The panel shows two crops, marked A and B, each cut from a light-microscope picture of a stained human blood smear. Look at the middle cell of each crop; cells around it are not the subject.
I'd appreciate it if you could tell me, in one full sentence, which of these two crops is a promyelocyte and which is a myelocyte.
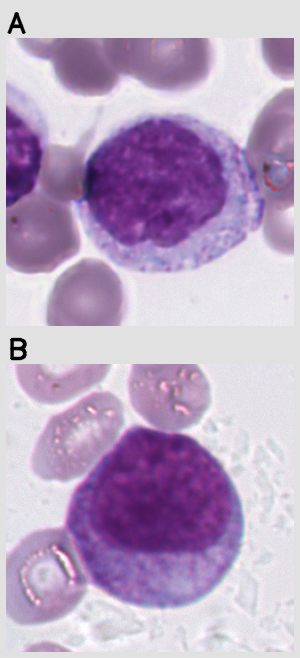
The cell of crop A is a myelocyte; that of crop B is a promyelocyte.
